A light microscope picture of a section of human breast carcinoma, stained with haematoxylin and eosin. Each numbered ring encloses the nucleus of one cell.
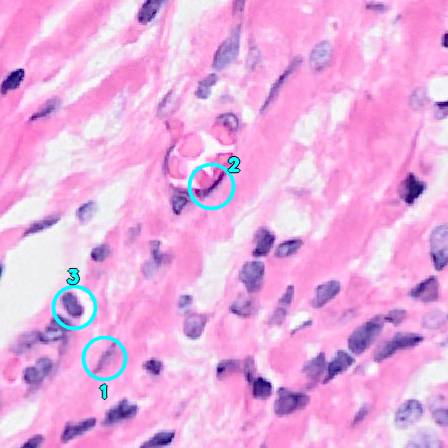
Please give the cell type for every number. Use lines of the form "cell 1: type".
cell 1: fibroblast
cell 2: endothelial cell
cell 3: lymphocyte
